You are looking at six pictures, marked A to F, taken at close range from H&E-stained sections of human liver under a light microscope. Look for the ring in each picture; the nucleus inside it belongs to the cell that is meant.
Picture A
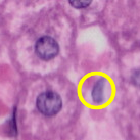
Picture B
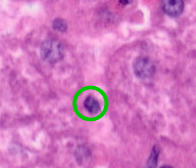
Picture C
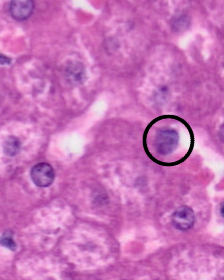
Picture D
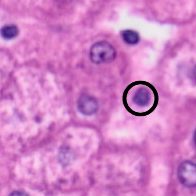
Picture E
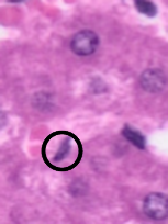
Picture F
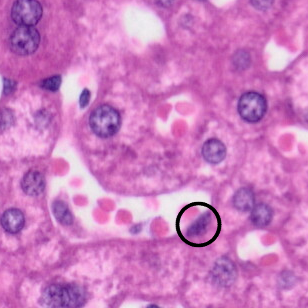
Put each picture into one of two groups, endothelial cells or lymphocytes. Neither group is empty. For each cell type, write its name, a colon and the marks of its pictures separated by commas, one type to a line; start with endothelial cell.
endothelial cell: A, C, E, F
lymphocyte: B, D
